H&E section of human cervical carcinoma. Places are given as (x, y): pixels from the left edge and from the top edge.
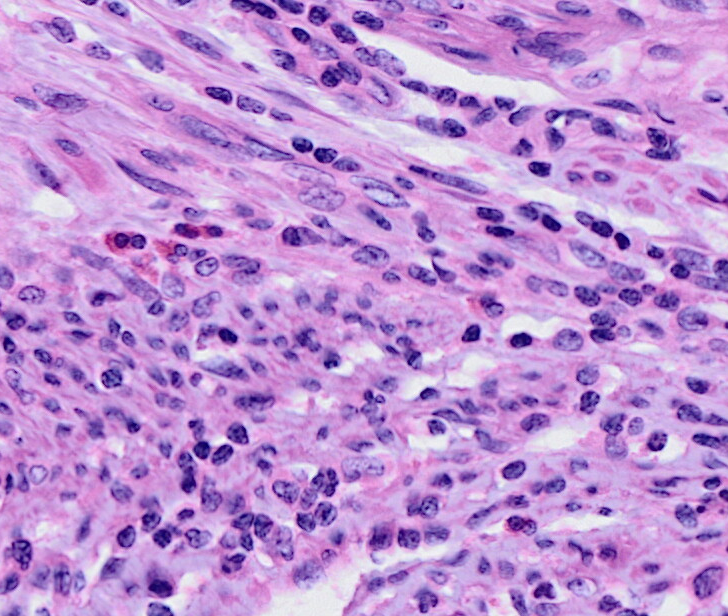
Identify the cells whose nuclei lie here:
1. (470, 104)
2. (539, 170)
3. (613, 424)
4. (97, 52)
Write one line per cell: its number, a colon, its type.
1: lymphocyte
2: lymphocyte
3: lymphocyte
4: macrophage or monocyte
